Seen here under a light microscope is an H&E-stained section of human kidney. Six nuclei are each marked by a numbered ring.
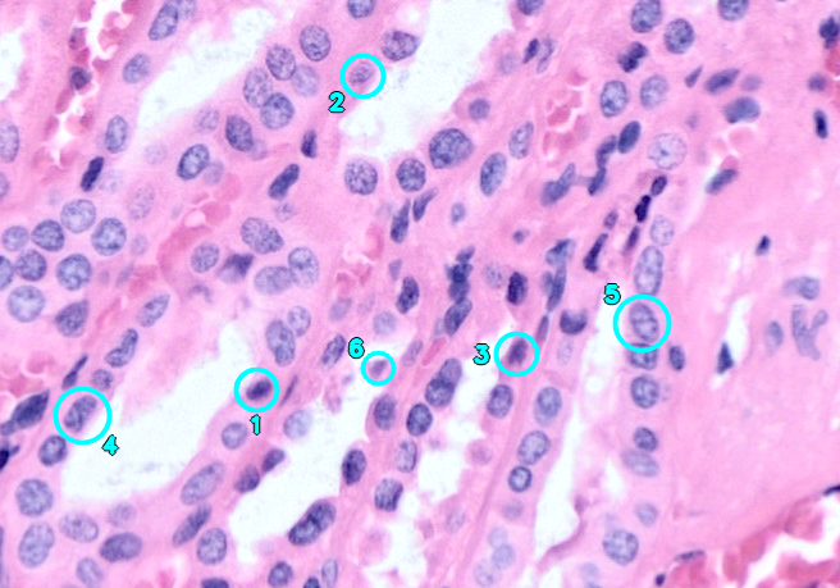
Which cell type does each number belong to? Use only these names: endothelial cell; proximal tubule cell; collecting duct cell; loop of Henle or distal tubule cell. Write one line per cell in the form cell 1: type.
cell 1: collecting duct cell
cell 2: loop of Henle or distal tubule cell
cell 3: loop of Henle or distal tubule cell
cell 4: collecting duct cell
cell 5: collecting duct cell
cell 6: loop of Henle or distal tubule cell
